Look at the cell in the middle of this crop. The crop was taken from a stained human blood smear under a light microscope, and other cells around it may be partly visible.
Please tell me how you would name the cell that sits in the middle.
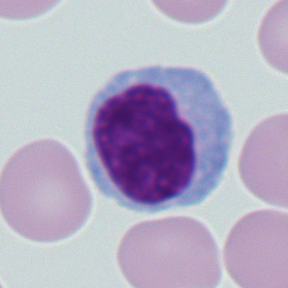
typical lymphocyte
